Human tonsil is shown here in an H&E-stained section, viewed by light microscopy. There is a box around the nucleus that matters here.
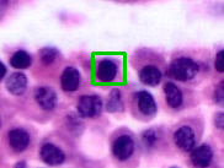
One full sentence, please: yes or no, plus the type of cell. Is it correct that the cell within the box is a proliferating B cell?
No, by cell type the cell within the box is a plasma cell, not a proliferating B cell.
